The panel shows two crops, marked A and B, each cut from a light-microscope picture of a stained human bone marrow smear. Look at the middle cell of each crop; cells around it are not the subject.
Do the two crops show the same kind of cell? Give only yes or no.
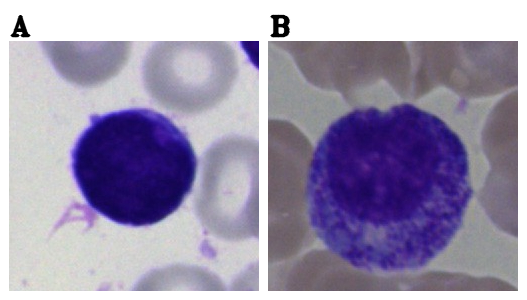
no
